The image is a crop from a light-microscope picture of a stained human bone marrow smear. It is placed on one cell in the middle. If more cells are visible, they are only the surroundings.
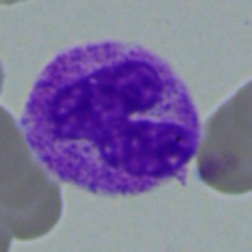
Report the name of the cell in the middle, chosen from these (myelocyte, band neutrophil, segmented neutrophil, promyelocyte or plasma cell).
band neutrophil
